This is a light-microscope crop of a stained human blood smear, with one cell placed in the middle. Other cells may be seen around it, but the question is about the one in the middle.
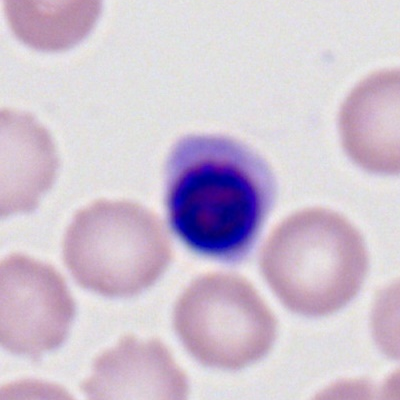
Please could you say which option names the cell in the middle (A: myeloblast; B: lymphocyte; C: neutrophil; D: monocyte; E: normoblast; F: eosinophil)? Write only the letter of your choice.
E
